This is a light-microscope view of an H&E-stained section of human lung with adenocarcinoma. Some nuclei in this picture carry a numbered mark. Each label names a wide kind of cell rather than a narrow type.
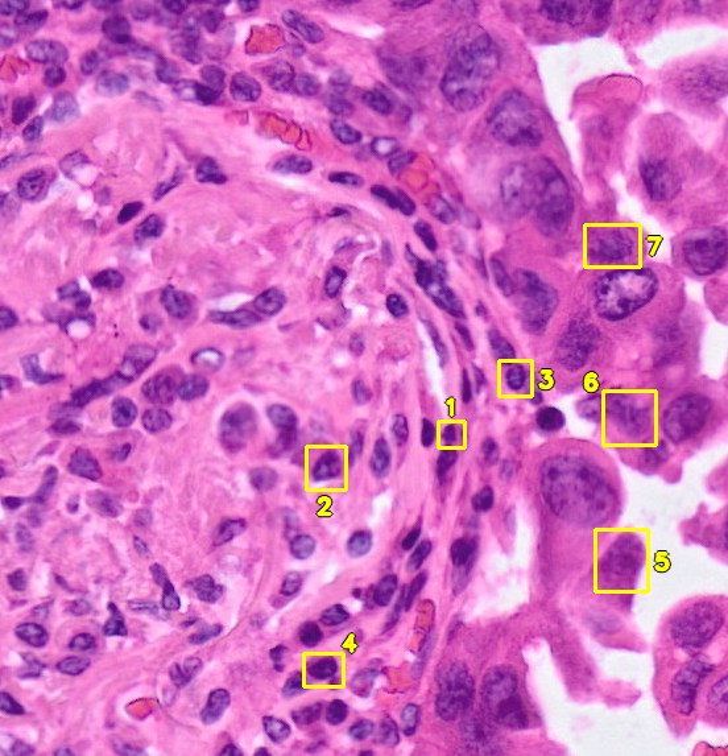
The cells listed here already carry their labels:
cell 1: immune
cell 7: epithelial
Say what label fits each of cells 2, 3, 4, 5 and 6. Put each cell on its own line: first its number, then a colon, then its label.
2: immune
3: immune
4: immune
5: epithelial
6: epithelial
